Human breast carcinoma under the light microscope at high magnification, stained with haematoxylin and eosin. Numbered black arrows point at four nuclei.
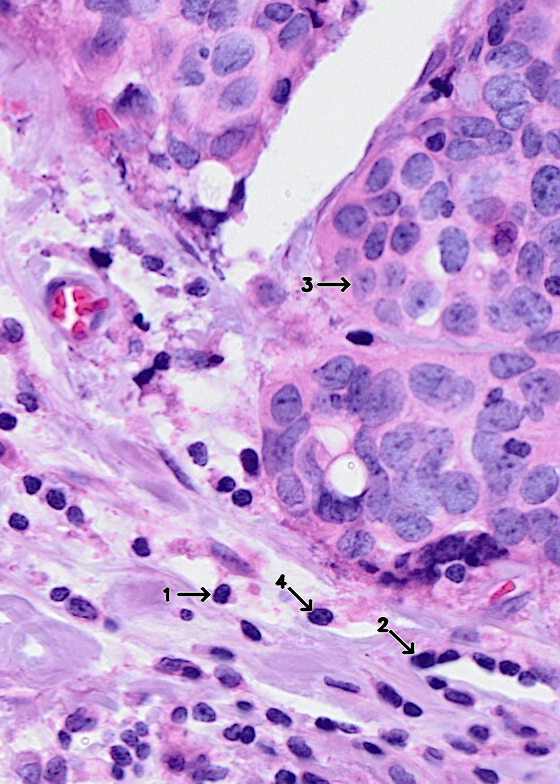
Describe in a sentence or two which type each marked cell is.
Cell 1 is a lymphocyte, cell 2 is a lymphocyte, cell 3 is a carcinoma cell and cell 4 is a lymphocyte.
